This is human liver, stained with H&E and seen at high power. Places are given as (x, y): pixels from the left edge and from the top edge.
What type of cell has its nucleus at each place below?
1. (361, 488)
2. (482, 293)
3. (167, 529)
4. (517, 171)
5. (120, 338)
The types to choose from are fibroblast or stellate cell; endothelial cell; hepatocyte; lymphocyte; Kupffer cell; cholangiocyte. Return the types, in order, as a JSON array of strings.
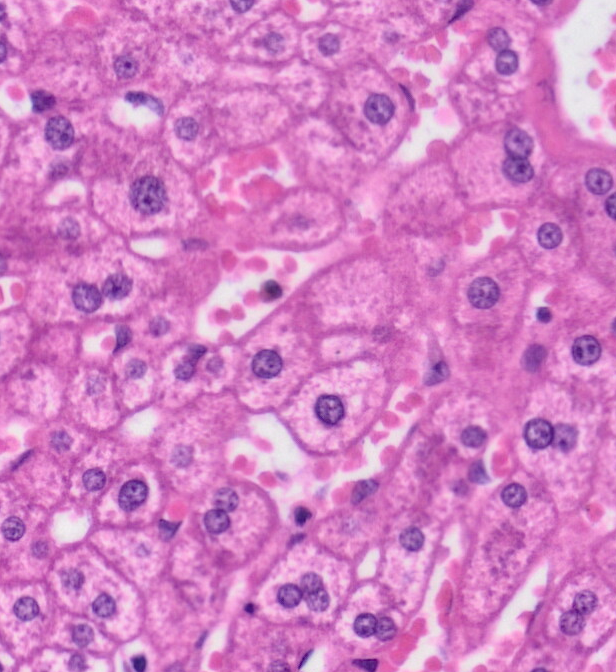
["Kupffer cell", "hepatocyte", "endothelial cell", "hepatocyte", "endothelial cell"]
